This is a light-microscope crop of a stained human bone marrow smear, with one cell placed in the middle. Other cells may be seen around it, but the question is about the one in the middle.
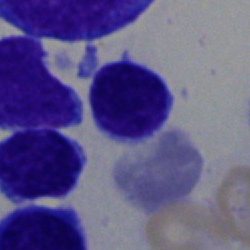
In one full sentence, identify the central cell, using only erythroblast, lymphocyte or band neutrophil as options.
Whatever else lies nearby, the middle cell is a lymphocyte.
